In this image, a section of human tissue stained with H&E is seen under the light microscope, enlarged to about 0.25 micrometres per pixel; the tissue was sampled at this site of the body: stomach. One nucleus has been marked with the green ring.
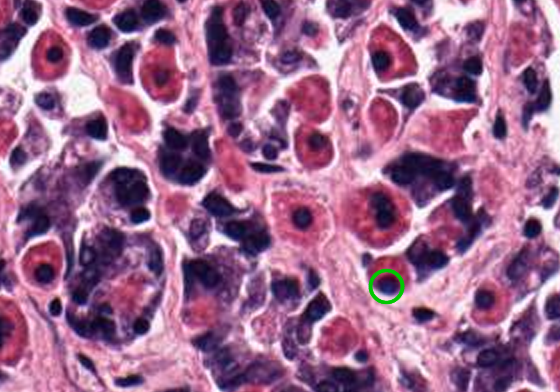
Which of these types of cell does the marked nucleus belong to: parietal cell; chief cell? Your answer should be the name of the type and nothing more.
parietal cell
